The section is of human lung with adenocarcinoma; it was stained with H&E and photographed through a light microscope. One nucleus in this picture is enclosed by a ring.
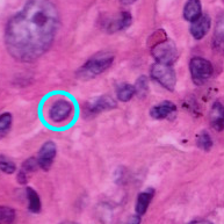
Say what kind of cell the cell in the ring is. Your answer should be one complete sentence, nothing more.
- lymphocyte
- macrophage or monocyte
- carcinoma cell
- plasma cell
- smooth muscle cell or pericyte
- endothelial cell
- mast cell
Microscopically, the cell in the ring is categorized as a mast cell.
